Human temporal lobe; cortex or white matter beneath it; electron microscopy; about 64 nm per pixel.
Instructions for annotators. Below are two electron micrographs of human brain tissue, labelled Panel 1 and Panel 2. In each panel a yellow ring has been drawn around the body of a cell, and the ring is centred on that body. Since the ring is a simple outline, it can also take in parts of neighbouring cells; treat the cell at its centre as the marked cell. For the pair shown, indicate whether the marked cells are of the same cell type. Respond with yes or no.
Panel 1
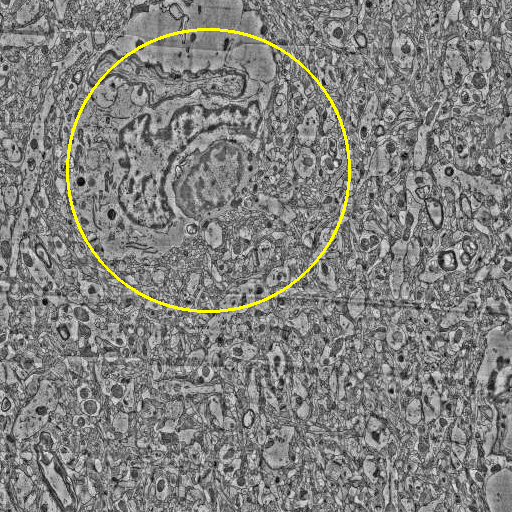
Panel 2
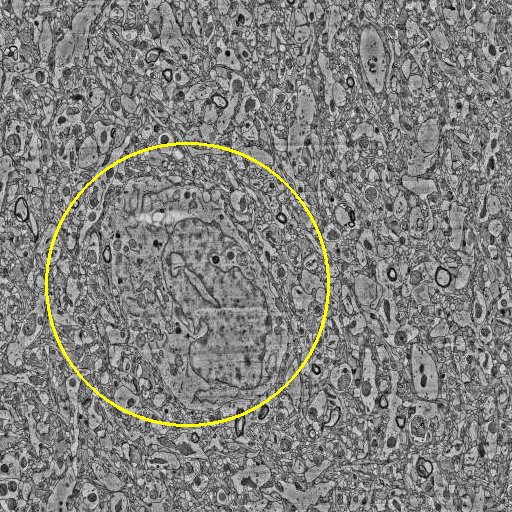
no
